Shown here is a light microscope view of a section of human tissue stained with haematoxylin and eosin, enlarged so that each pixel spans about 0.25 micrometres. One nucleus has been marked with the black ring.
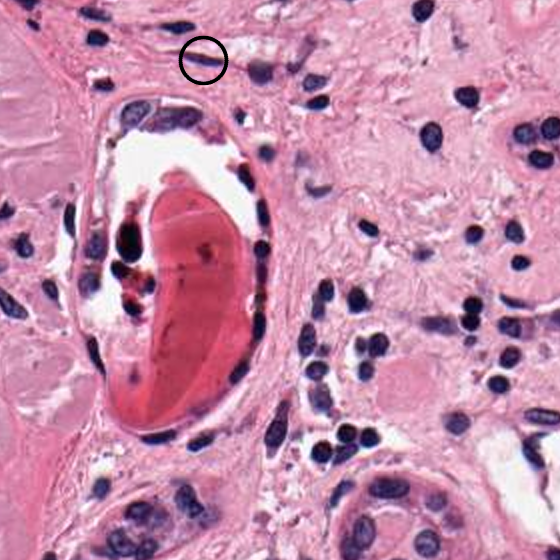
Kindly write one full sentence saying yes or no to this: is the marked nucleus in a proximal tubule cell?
No, the marked nucleus belongs to a supporting cell of connective tissue, a vessel or the immune system, not to a proximal tubule cell.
